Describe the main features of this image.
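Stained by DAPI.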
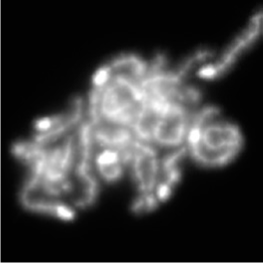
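The chromosomes appear as bright, thick, fuzzy threads that curve and loop over one another within a compact group. A few very bright dots lie along some of the threads. Little diffuse, unresolved chromatin remains between them.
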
